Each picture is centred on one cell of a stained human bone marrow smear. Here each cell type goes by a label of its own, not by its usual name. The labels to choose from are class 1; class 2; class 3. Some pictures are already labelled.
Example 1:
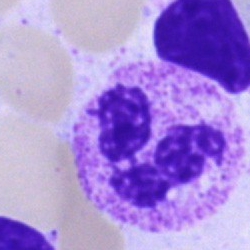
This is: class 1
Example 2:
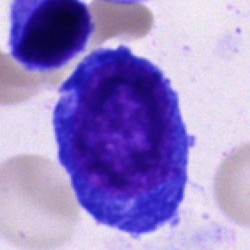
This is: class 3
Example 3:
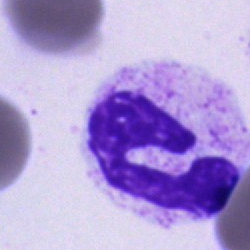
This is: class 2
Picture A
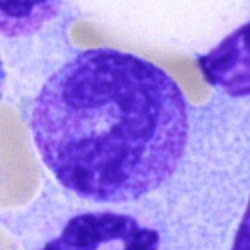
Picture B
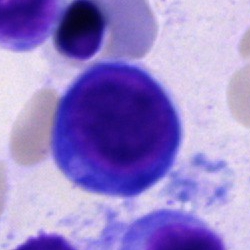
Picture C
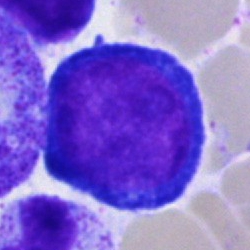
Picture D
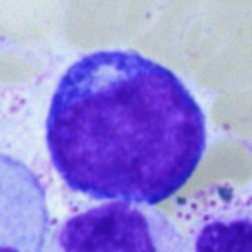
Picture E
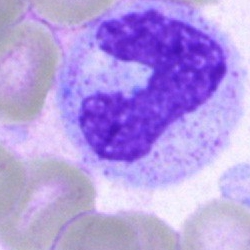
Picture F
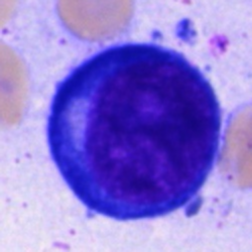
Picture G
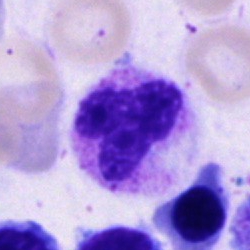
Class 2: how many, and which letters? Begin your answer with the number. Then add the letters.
Count: 2 (A, E)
